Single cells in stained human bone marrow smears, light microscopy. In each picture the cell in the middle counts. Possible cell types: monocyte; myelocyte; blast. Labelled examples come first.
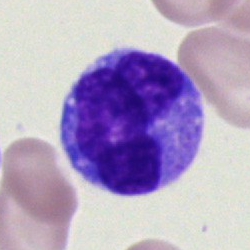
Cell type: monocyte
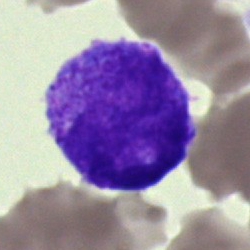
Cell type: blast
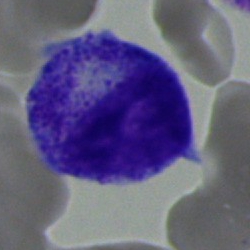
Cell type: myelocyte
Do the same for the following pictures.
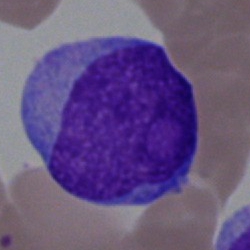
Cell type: blast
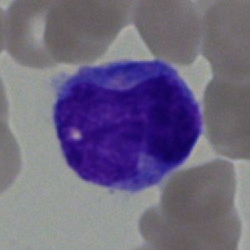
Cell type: monocyte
